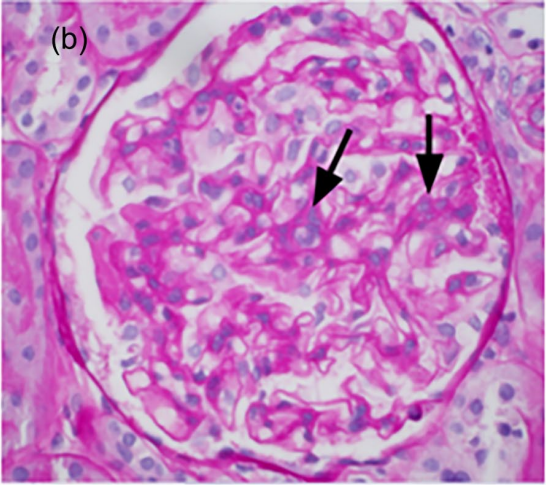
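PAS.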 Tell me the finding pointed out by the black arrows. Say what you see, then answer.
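Mesangial hypercellularity and matrix expansion. The arrows point to clusters of nuclei within the glomerular tuft. Broadened magenta material surrounds these nuclei between the capillary loops.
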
